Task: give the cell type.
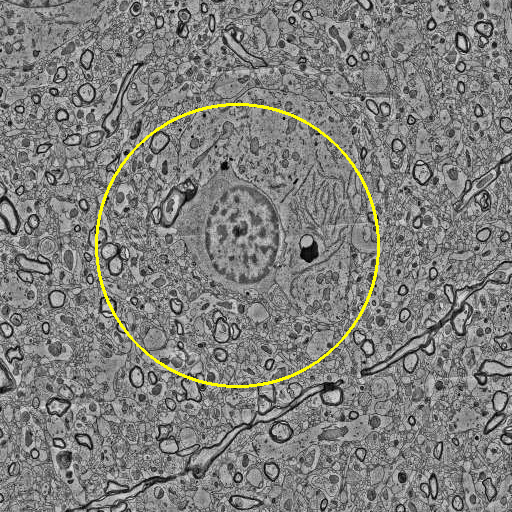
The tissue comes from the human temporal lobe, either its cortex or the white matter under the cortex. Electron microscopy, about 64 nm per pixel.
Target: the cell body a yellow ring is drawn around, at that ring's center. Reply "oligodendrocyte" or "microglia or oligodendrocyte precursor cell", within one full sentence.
In this picture, the cell whose body lies at the ring's center is an oligodendrocyte.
